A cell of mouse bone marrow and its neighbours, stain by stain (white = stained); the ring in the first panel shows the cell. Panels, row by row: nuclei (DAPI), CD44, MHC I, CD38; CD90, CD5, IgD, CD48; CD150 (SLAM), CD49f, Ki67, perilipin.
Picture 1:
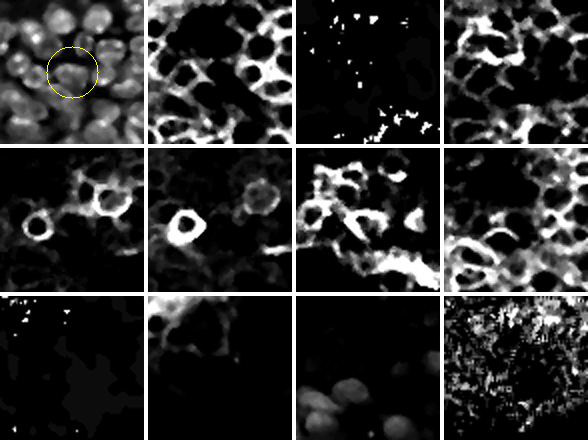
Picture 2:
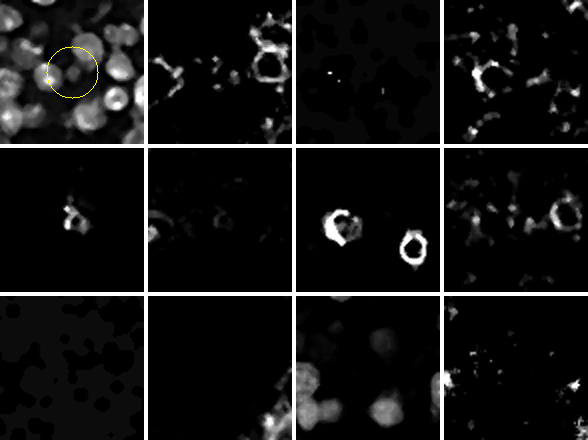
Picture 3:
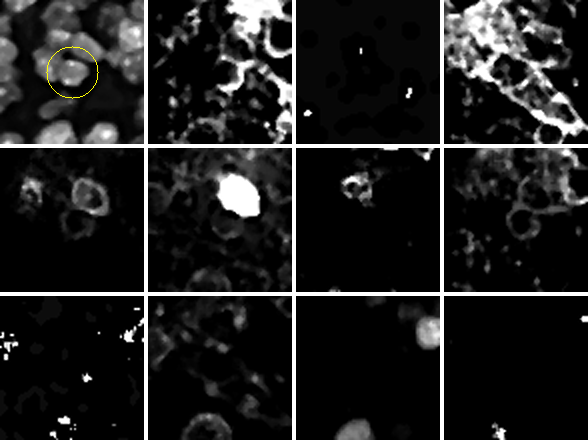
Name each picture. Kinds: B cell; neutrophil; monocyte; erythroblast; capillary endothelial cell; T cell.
1: B cell
2: T cell
3: capillary endothelial cell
